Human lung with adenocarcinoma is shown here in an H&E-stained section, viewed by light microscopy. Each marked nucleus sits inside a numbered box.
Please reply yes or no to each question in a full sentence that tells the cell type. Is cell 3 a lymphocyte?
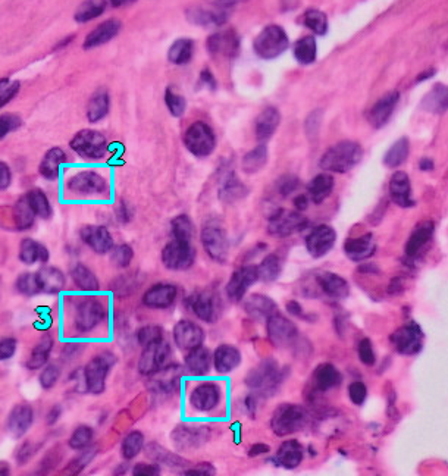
No, a plasma cell is what cell 3 is, not a lymphocyte.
